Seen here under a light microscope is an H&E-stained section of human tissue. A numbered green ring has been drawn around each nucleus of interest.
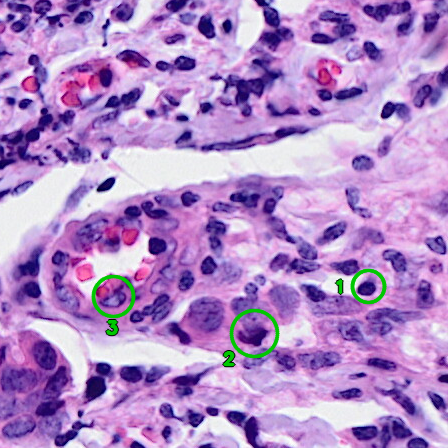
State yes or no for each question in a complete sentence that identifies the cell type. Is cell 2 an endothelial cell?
No, cell 2 is to be read as a carcinoma cell, not an endothelial cell.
